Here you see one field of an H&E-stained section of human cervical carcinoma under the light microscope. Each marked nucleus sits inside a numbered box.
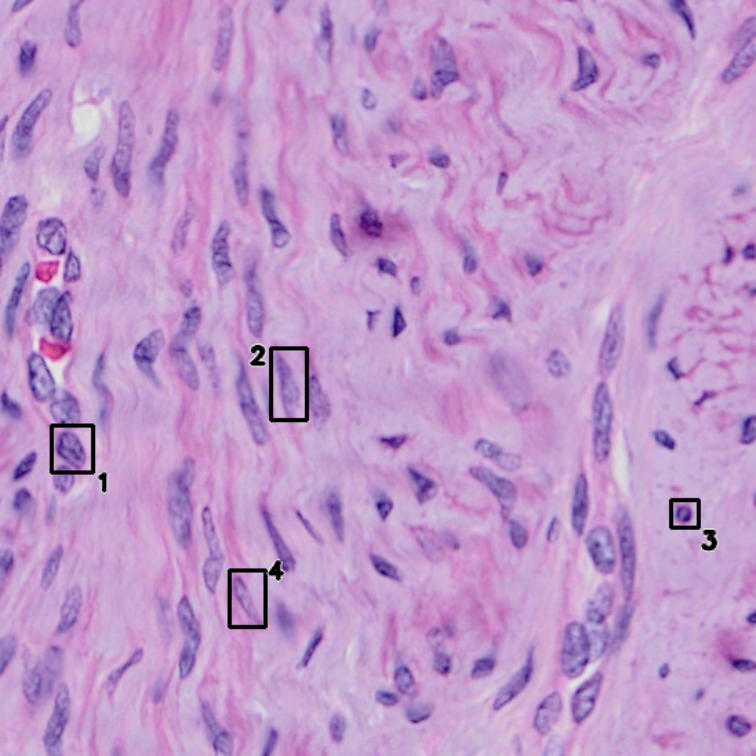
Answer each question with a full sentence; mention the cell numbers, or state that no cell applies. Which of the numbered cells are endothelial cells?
Among the numbered cells, the one that is an endothelial cell is cell 1 alone.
